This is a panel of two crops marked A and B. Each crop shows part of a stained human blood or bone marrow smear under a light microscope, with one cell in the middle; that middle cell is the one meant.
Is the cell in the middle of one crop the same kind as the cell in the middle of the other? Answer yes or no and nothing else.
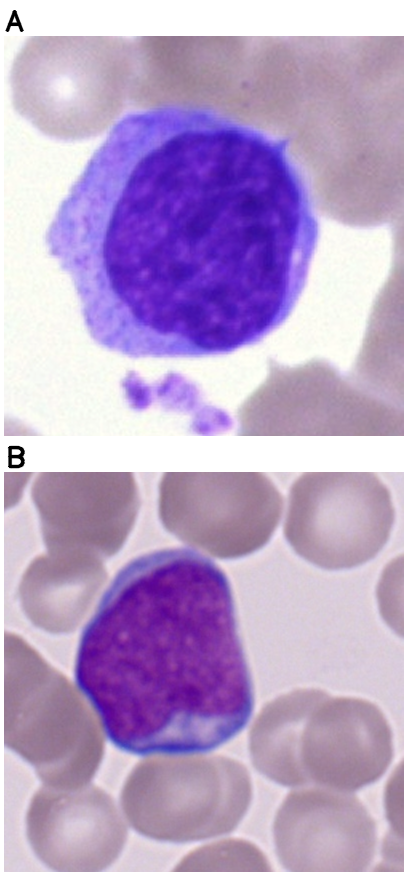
yes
